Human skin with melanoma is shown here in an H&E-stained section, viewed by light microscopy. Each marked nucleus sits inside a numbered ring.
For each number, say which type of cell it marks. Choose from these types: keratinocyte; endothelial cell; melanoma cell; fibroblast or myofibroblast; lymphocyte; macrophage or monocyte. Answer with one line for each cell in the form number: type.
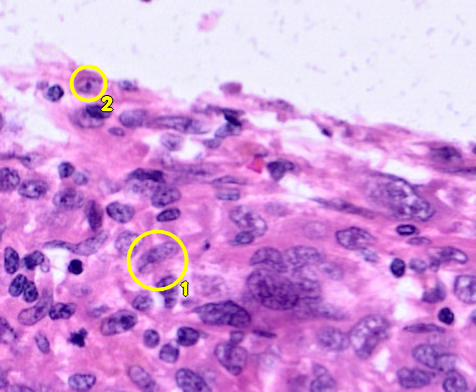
1: melanoma cell
2: macrophage or monocyte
